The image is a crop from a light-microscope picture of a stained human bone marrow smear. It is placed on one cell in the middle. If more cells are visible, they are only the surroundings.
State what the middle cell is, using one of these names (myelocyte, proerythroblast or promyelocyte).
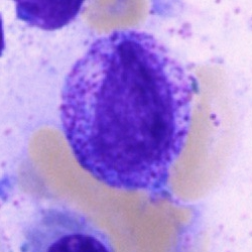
myelocyte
